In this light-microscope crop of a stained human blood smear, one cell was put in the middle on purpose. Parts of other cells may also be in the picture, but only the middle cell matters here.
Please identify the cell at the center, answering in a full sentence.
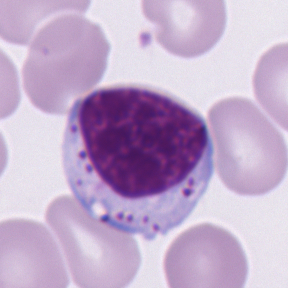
Standing at the centre of this crop is a large granular lymphocyte.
